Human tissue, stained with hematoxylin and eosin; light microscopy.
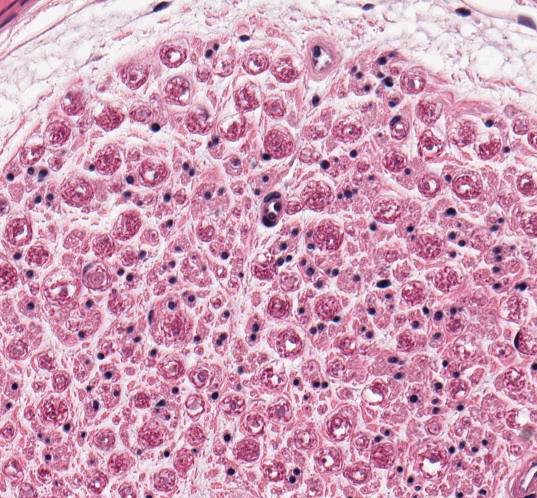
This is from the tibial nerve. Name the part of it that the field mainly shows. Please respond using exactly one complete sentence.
Shown here is the tissue part known as nerve fascicle.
